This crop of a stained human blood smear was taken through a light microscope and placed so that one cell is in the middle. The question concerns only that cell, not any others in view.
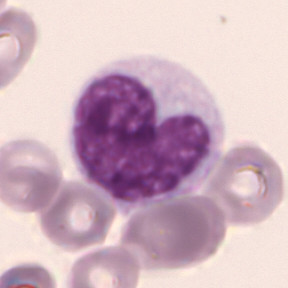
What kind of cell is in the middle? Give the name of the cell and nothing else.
metamyelocyte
